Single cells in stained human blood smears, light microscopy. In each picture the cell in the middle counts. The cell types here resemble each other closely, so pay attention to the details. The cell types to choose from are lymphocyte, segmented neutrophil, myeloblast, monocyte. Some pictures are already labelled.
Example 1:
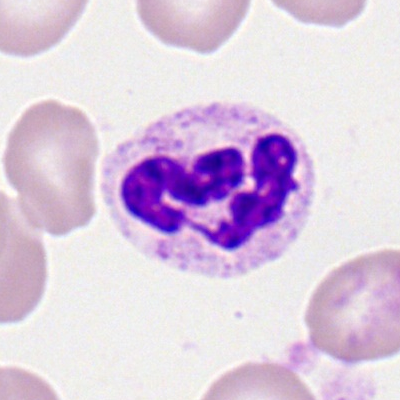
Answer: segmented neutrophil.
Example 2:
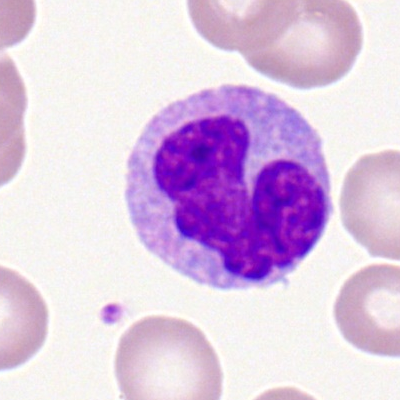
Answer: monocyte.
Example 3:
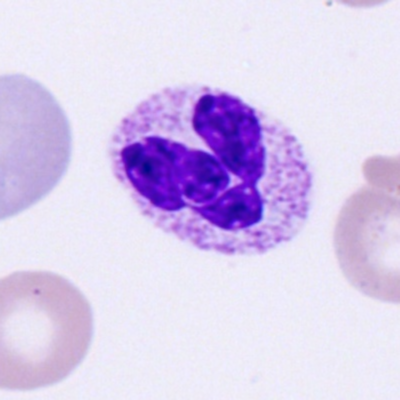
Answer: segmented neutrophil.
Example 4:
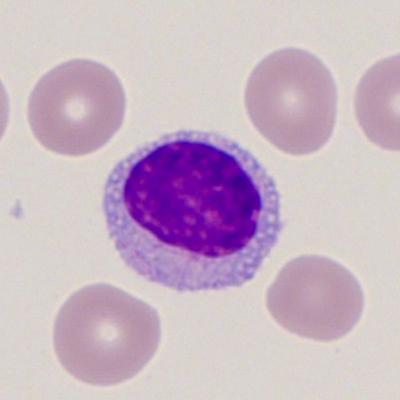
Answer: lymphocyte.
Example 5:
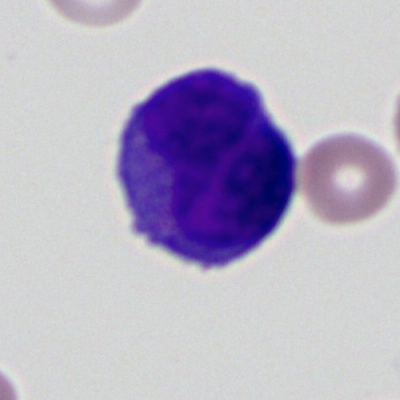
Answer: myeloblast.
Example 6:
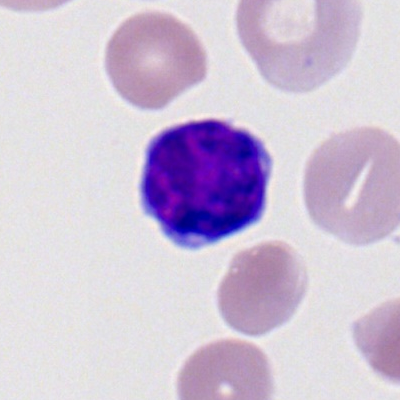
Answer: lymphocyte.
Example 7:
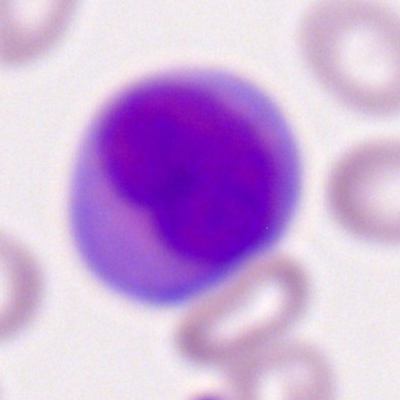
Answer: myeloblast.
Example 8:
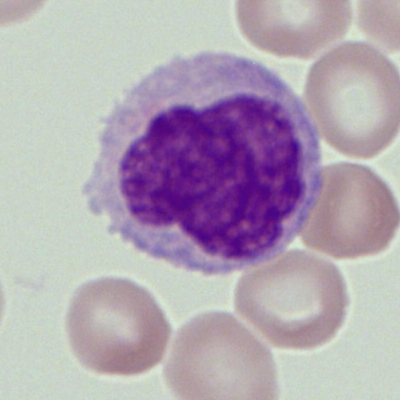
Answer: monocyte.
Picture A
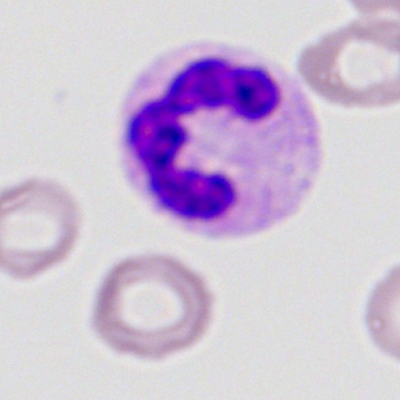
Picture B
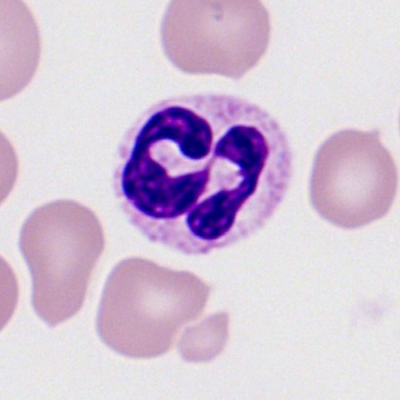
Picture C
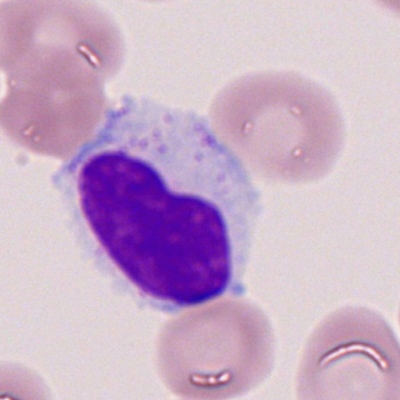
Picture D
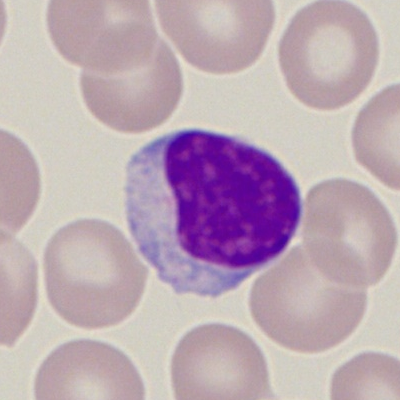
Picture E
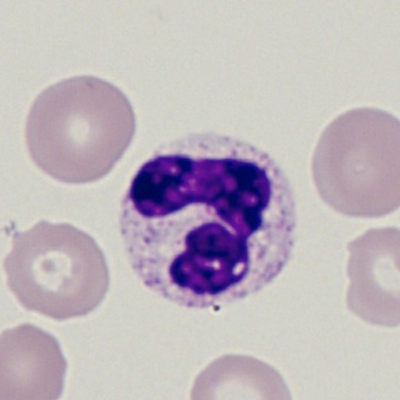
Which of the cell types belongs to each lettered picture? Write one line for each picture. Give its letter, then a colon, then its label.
A: segmented neutrophil.
B: segmented neutrophil.
C: lymphocyte.
D: lymphocyte.
E: segmented neutrophil.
